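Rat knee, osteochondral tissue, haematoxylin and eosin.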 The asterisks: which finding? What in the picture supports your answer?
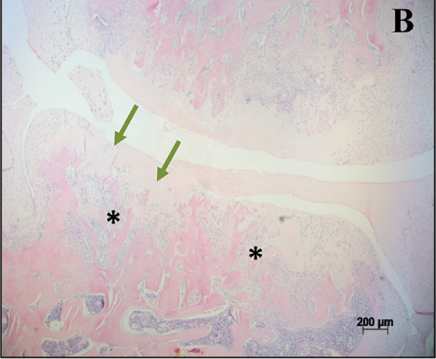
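The asterisks lie in the bone beneath the articular cartilage. That points to this answer: subchondral bone changes.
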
